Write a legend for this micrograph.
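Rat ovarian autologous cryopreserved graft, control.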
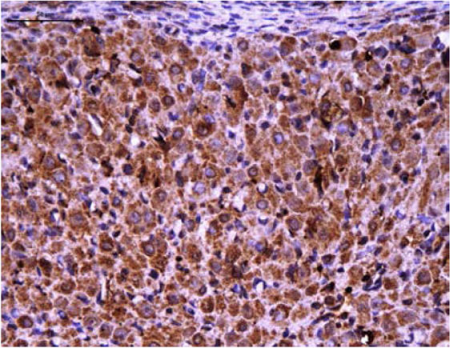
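This is a corpus luteum. It consists of a solid sheet of large polygonal luteal cells with abundant, granular, brown-stained cytoplasm and round, pale blue, centrally placed nuclei. The intensity of the brown staining varies from cell to cell. Between the large cells lie smaller cells with dark, elongated nuclei, and a few small vessels and scattered dark dense bodies can be seen. Along the upper edge runs a band of flattened, spindle-shaped cells with blue nuclei and little brown staining, forming a surrounding capsule of connective tissue.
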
